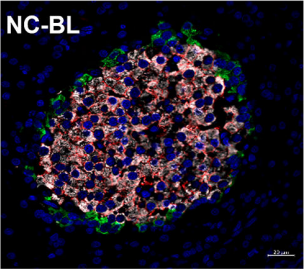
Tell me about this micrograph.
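A large, rounded pancreatic islet sits within exocrine tissue marked only by blue nuclei. The islet core is densely packed with cells whose cytoplasm is white to pinkish, each around a blue nucleus, with red signal lining the cell borders in a fine network across the core. The islet is sharply delimited from the surrounding tissue and its cells are evenly distributed.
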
